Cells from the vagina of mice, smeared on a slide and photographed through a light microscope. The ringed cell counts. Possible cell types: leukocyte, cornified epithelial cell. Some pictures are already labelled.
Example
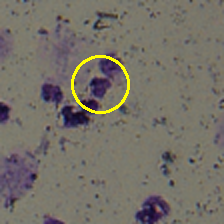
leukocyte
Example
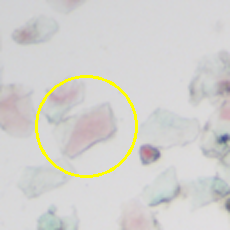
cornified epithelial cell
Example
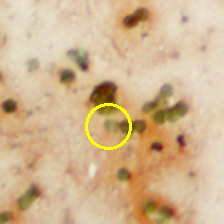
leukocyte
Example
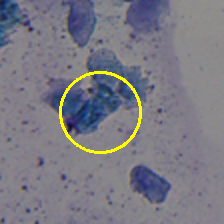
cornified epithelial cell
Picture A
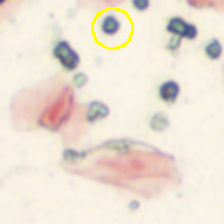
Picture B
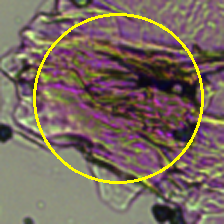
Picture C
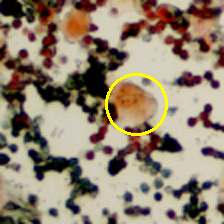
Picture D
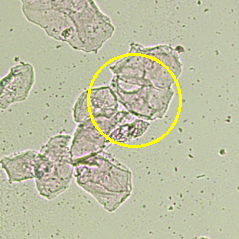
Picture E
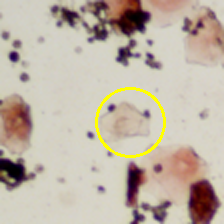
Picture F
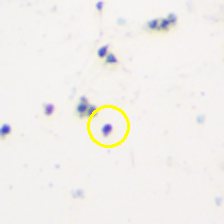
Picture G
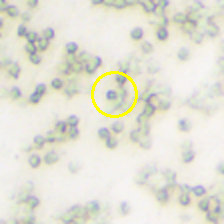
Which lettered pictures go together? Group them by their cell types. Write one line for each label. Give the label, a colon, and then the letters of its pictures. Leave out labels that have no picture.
leukocyte: A, F, G
cornified epithelial cell: B, C, D, E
